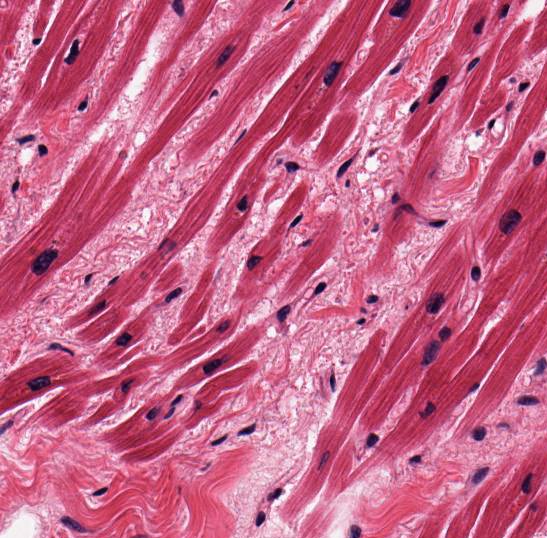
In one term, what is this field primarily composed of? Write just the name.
myocardium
